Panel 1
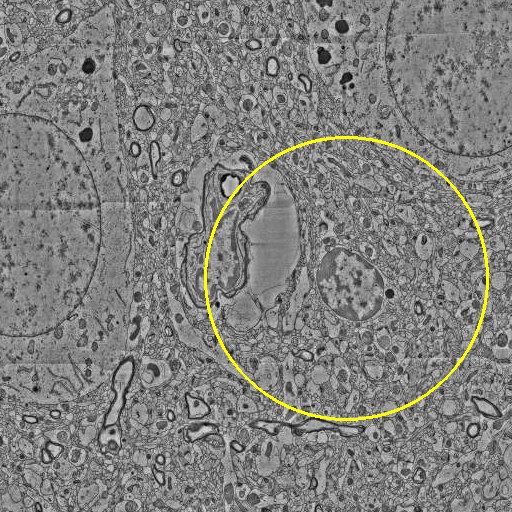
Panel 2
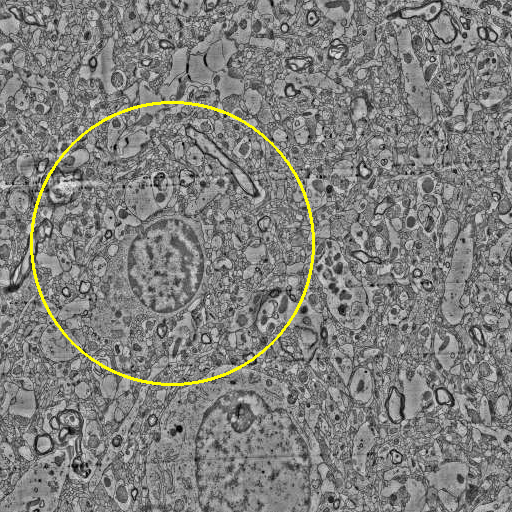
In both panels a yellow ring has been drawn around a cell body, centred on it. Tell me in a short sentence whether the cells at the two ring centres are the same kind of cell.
No, they are two kinds of cell.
